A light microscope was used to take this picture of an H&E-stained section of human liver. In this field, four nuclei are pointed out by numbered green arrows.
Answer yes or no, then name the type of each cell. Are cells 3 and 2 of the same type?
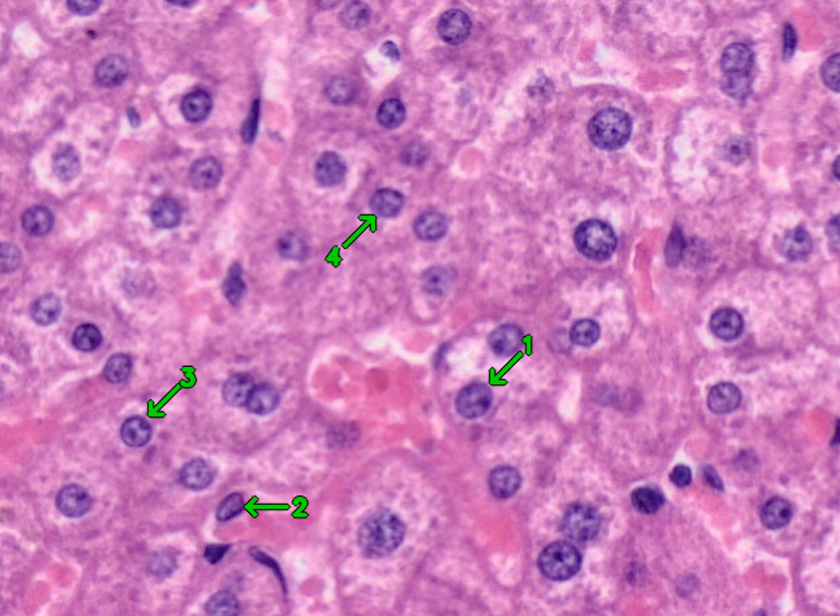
No, cell 3 is a hepatocyte and cell 2 is a Kupffer cell.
